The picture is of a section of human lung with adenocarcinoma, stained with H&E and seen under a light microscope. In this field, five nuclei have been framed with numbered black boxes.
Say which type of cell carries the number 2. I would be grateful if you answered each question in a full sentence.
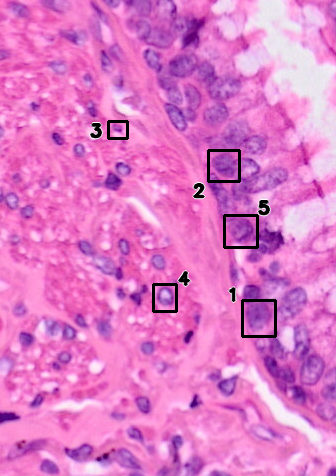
Number 2 is placed on a ciliated epithelial cell here.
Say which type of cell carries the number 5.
Heads up, the cell numbered 5 is a ciliated epithelial cell.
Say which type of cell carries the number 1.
The nucleus with number 1 is that of a ciliated epithelial cell.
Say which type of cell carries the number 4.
The marked cell with the number 4 is recognised as a smooth muscle cell or pericyte.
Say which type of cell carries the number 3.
The cell numbered 3 represents a smooth muscle cell or pericyte.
